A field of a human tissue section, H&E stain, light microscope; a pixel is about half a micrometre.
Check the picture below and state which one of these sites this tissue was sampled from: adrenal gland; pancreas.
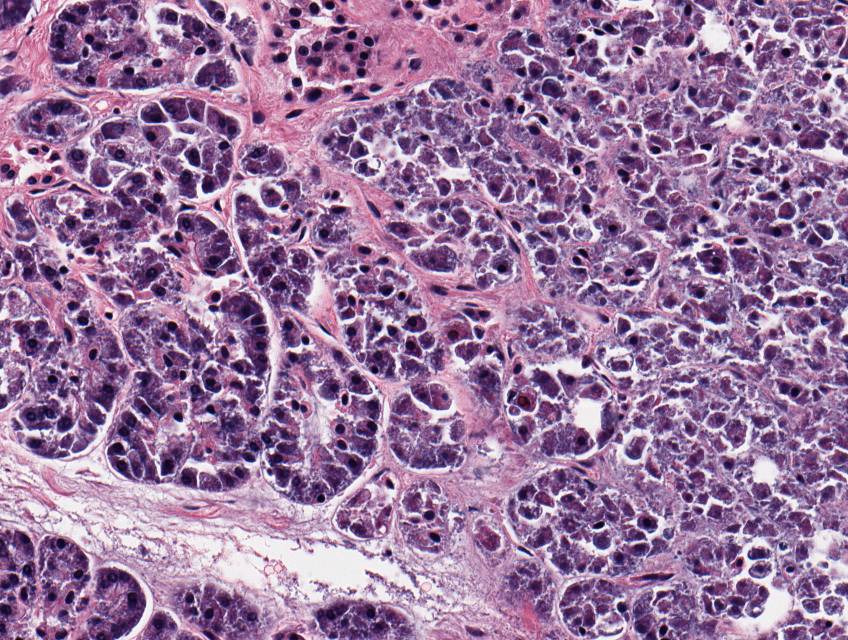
pancreas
